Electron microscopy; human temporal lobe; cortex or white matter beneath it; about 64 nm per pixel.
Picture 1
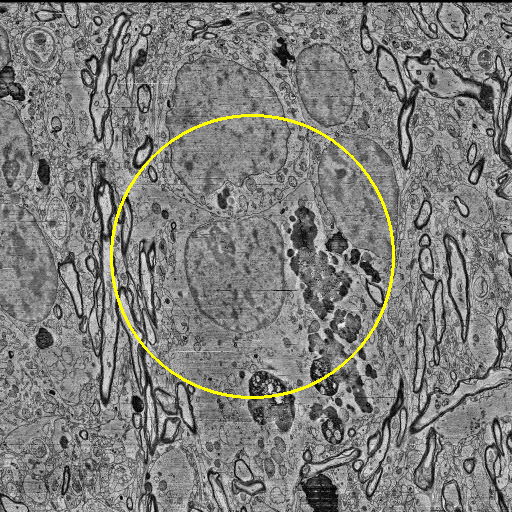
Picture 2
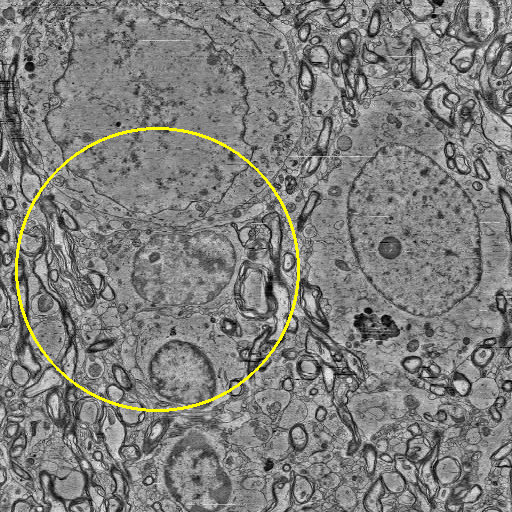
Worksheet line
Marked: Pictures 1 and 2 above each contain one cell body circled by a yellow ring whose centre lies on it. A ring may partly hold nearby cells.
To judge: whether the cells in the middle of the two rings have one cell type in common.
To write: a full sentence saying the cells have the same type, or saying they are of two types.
The cells in the middle of the rings in Picture 1 and Picture 2 are of two types.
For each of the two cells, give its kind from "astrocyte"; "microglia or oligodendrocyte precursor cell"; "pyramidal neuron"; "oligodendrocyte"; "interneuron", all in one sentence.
The first picture has an astrocyte in its ring, the second has an oligodendrocyte.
